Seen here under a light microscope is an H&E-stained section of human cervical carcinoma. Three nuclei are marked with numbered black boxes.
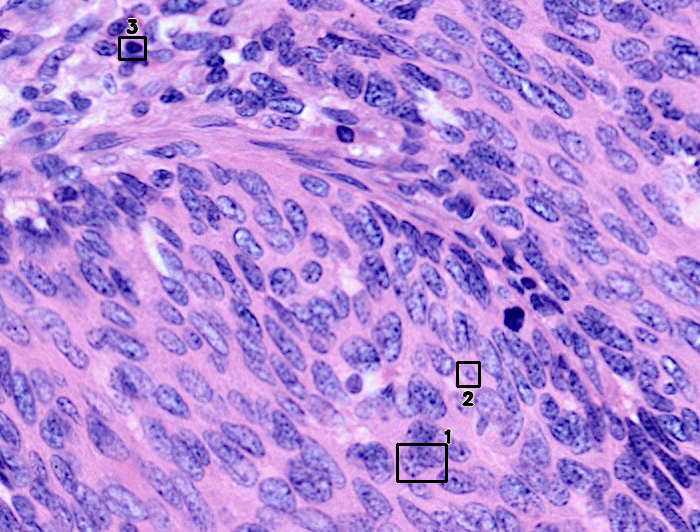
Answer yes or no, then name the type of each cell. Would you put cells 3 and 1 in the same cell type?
No, that's off: cell 3 is a lymphocyte and cell 1 is a squamous carcinoma cell.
